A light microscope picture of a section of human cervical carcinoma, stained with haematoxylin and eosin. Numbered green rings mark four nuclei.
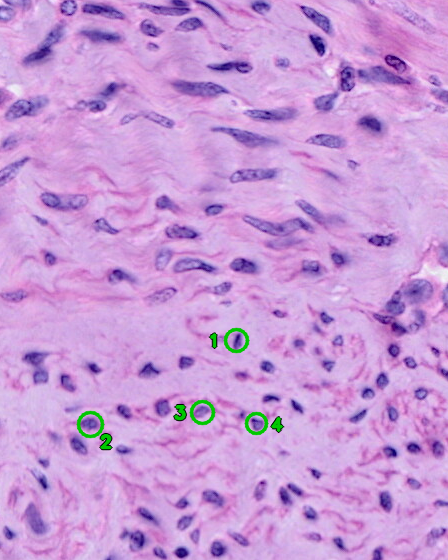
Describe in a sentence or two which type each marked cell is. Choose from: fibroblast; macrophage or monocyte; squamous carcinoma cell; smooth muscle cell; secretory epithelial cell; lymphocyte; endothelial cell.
Cell 1 is a fibroblast, cell 2 is a smooth muscle cell, cell 3 is a smooth muscle cell and cell 4 is a smooth muscle cell.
